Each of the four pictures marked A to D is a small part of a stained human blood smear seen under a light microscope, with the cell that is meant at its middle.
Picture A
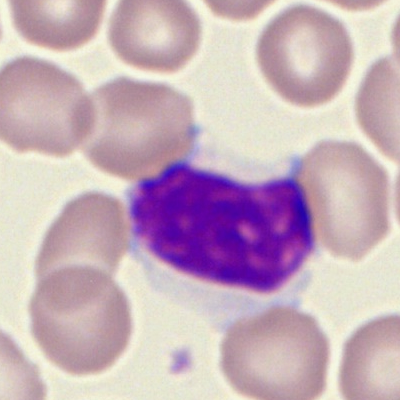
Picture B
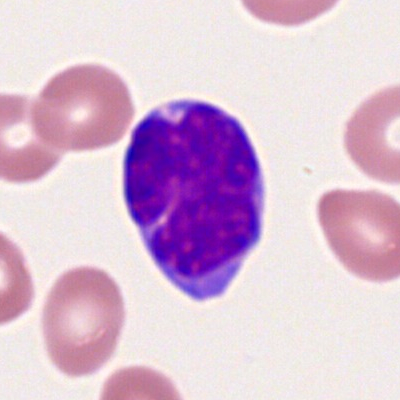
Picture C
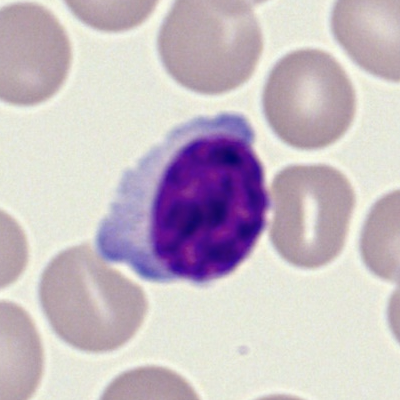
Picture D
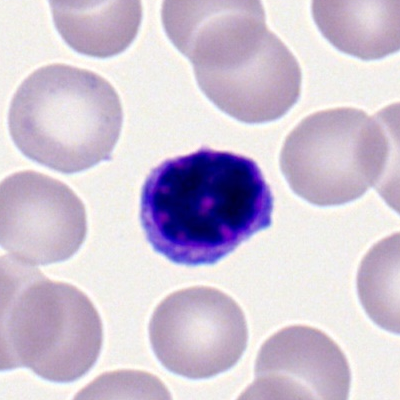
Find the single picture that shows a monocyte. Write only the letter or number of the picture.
B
